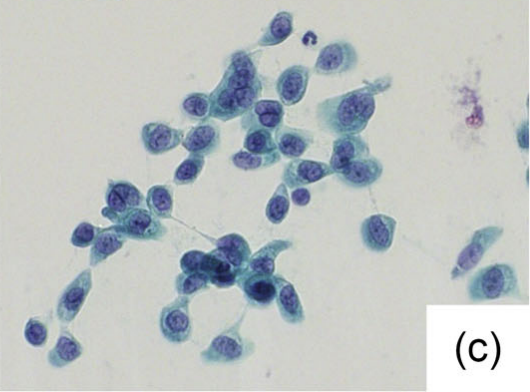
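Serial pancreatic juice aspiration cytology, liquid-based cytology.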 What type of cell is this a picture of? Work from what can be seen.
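Single cells and small loose groups lie scattered on a clean background. Nuclei are round to oval, many with a visible nucleolus. Cytoplasm is pale blue-green and some cells have tail-like extensions.
Hence: tumor cells.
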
